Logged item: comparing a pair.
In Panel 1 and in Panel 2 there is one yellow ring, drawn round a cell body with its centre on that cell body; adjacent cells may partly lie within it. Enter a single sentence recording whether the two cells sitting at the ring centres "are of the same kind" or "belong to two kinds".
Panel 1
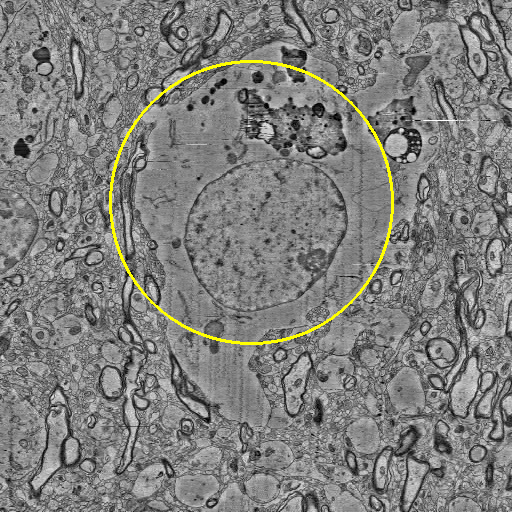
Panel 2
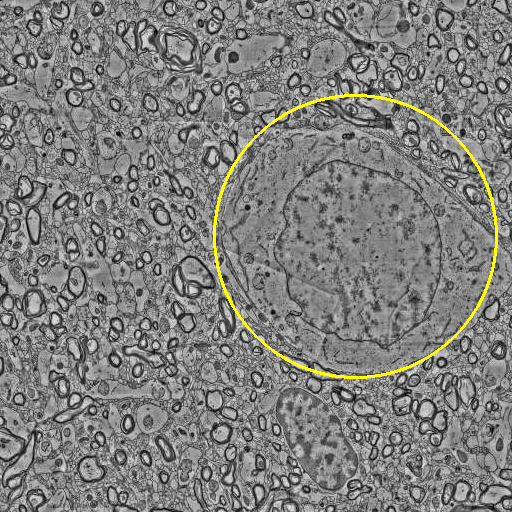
Logged: the cells centred in the rings of Panel 1 and Panel 2 belong to two kinds.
